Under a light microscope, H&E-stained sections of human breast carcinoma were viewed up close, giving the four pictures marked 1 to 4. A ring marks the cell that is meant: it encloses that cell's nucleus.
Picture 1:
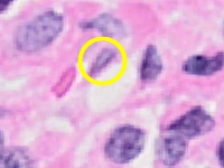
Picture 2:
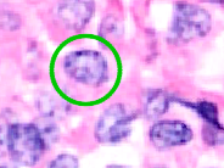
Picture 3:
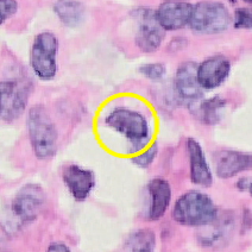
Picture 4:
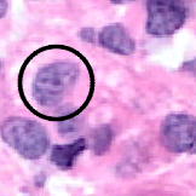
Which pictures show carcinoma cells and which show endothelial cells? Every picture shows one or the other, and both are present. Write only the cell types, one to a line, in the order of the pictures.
endothelial cell
carcinoma cell
carcinoma cell
carcinoma cell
